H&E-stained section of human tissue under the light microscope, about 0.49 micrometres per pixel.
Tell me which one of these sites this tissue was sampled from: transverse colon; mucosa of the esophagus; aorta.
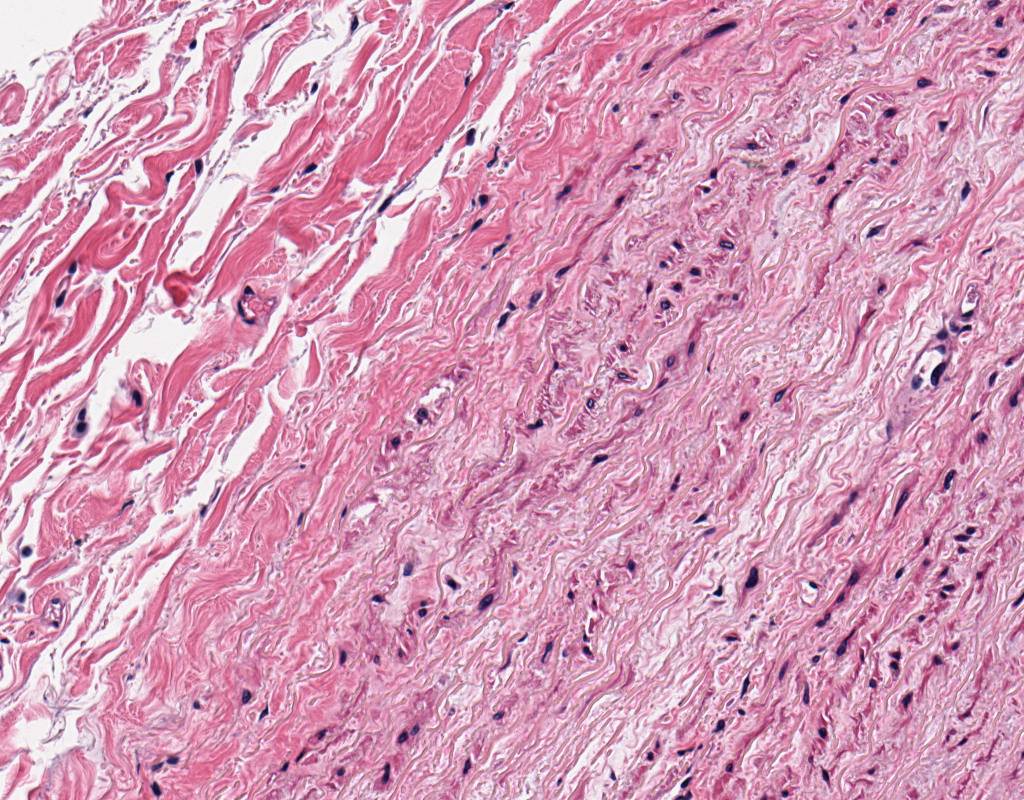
aorta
